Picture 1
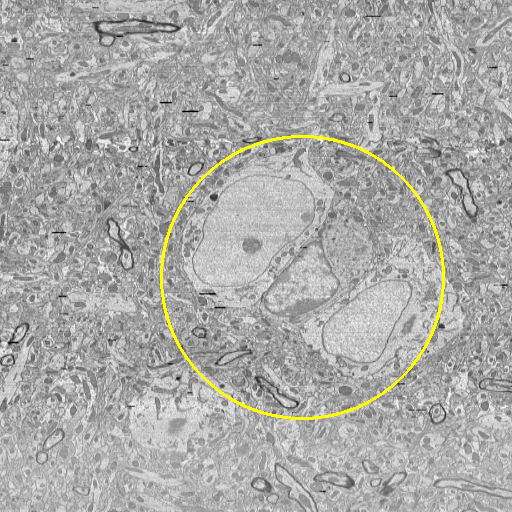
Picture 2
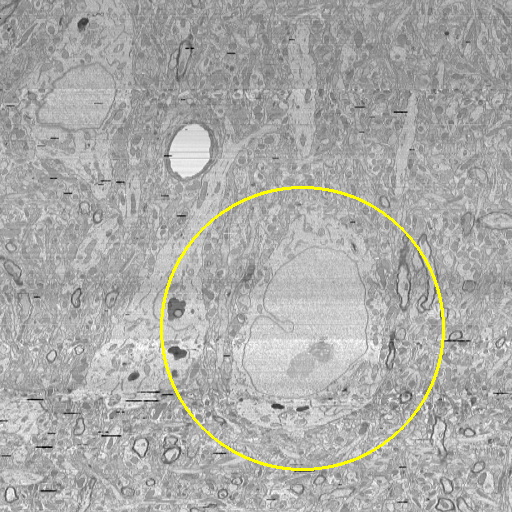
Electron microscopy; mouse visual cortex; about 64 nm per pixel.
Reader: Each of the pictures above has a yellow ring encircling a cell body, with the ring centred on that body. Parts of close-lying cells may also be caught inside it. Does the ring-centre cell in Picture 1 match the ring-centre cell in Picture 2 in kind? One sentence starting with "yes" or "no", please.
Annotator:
No, Picture 1 and Picture 2 show ring-centre cells of two kinds.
